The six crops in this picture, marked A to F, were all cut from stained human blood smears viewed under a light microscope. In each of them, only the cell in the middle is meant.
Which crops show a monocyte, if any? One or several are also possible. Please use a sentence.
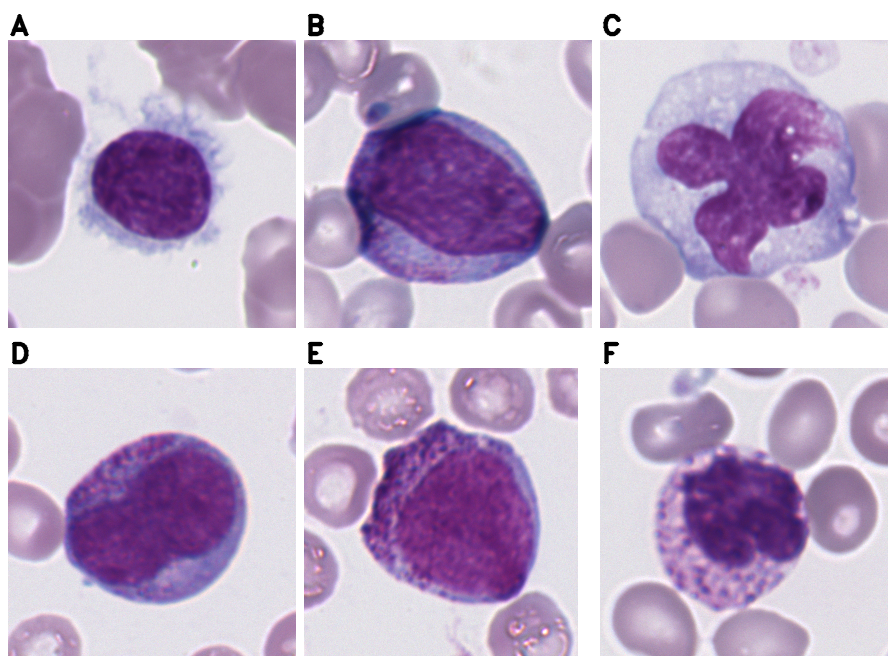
The crop showing a monocyte is crop C, and there is no other.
